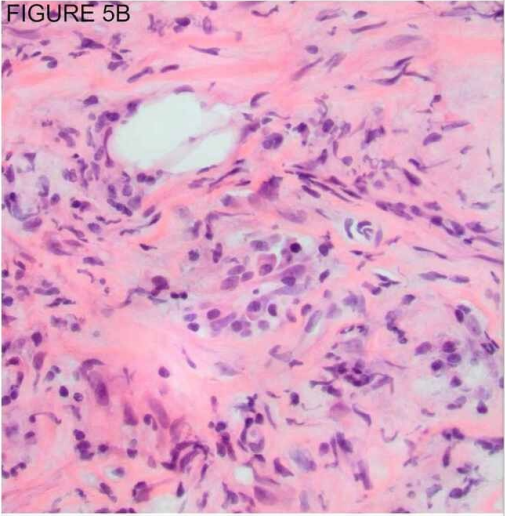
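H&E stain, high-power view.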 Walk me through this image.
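This is densely fibrotic tissue in which thick, wavy pink collagen bundles surround scattered cells, among them plasma cells. The cells have round to oval purple nuclei, some placed toward one side, with a modest amount of cytoplasm. They lie singly or in small loose groups between the collagen, near a thin-walled vessel, alongside elongated spindle-shaped nuclei of fibroblasts.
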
